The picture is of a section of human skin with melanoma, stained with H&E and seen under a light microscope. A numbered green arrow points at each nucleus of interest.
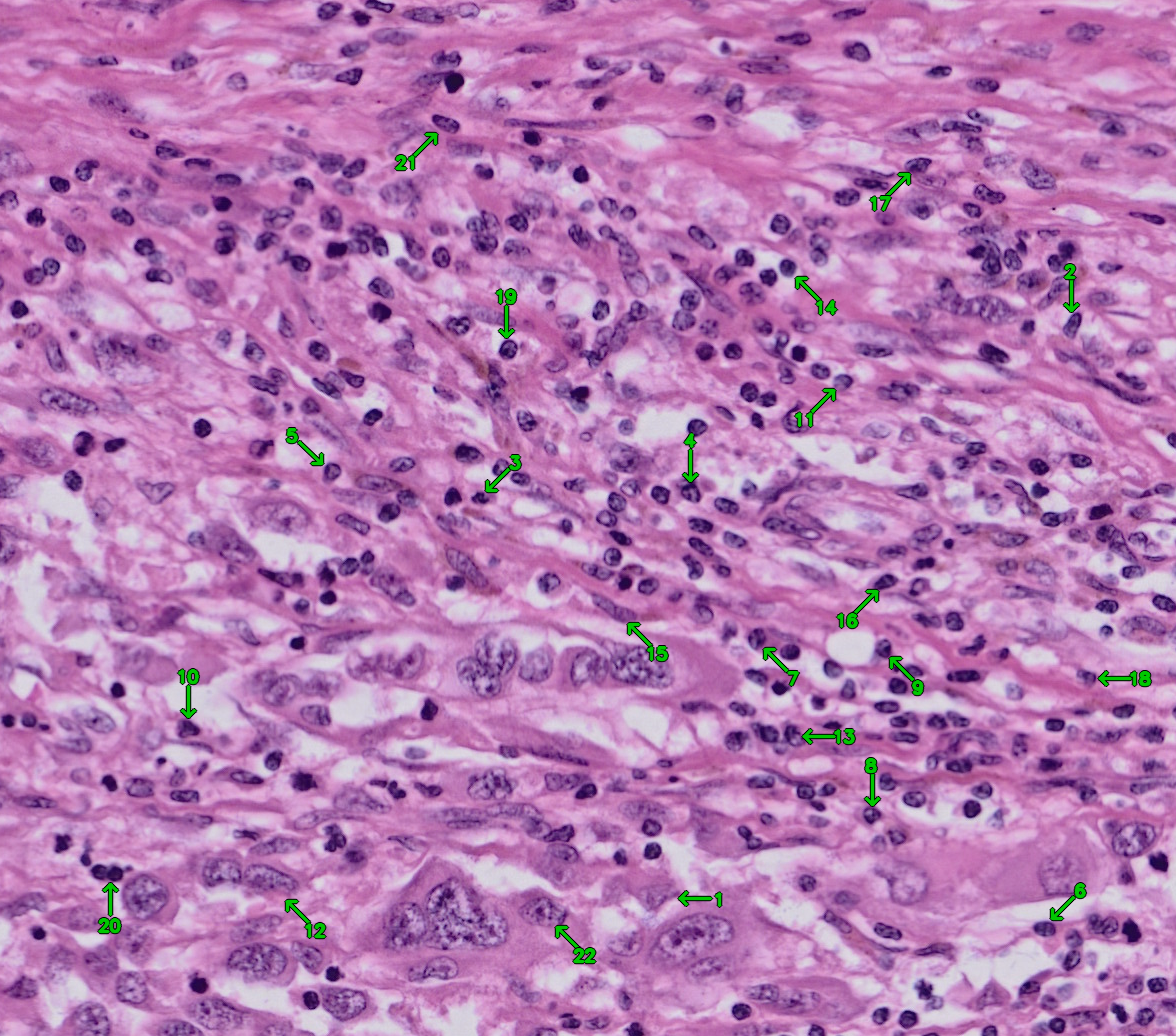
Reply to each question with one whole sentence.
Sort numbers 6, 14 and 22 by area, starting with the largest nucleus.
By area, largest first, they run 22, 6, 14.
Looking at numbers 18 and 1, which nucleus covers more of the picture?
Of the two, number 1 is bigger and takes up about 2.5 times the area of number 18.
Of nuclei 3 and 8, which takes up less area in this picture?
Nucleus 3 covers less area, with nucleus 8 about 1.5 times as large.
